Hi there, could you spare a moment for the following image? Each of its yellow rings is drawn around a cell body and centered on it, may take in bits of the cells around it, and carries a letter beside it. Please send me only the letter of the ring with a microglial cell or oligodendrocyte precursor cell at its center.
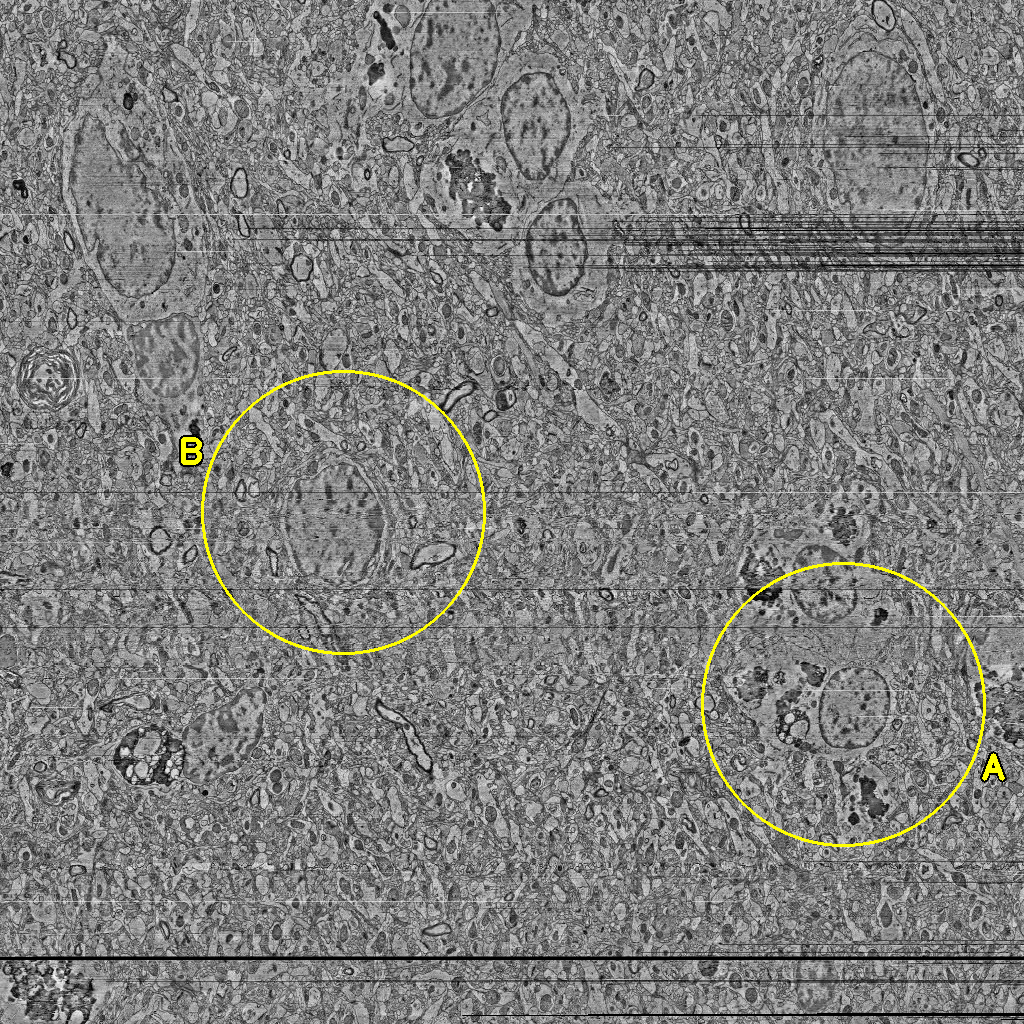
B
